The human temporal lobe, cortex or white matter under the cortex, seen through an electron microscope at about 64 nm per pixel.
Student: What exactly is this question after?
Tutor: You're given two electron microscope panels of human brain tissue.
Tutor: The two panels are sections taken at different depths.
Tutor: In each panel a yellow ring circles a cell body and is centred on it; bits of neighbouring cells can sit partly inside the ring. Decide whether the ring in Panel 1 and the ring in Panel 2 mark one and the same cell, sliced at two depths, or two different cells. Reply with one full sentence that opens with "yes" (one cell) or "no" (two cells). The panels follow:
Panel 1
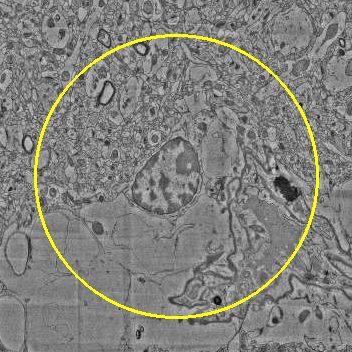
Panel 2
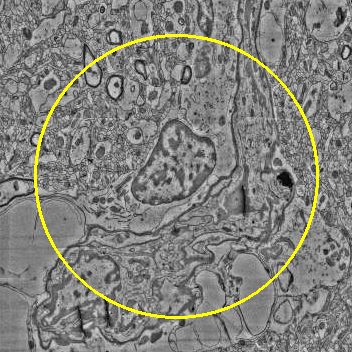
Yes, these two rings point to one cell rather than two.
